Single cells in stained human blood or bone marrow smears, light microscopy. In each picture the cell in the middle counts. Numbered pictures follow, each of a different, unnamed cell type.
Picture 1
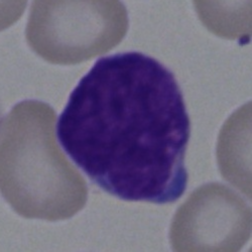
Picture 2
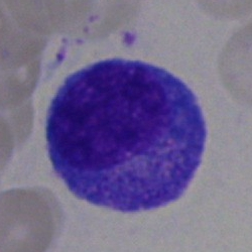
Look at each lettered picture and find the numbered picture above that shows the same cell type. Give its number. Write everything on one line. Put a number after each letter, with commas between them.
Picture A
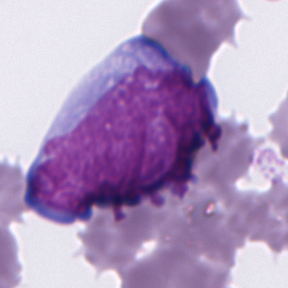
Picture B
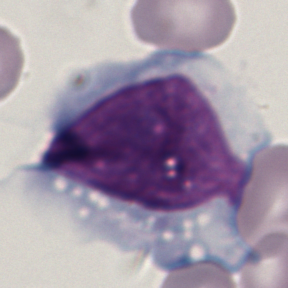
A 1, B 1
